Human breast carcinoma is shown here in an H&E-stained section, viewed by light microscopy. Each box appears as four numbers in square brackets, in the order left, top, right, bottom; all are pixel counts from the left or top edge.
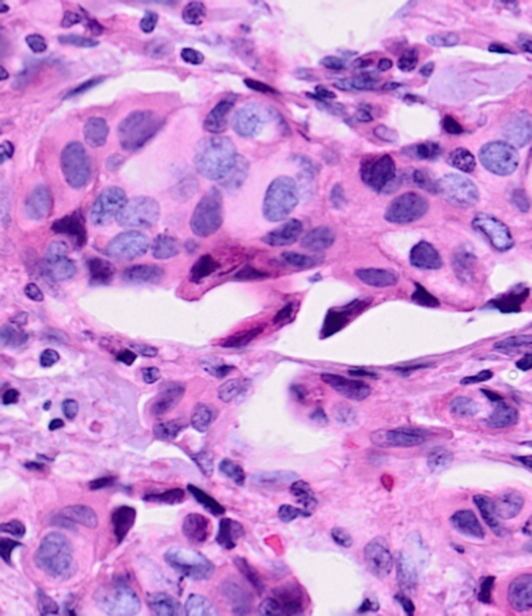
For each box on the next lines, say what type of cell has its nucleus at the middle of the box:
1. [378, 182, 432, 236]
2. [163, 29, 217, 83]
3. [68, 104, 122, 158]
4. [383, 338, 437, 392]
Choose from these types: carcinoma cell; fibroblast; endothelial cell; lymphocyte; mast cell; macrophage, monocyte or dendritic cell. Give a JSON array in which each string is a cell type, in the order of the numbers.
["carcinoma cell", "lymphocyte", "carcinoma cell", "fibroblast"]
